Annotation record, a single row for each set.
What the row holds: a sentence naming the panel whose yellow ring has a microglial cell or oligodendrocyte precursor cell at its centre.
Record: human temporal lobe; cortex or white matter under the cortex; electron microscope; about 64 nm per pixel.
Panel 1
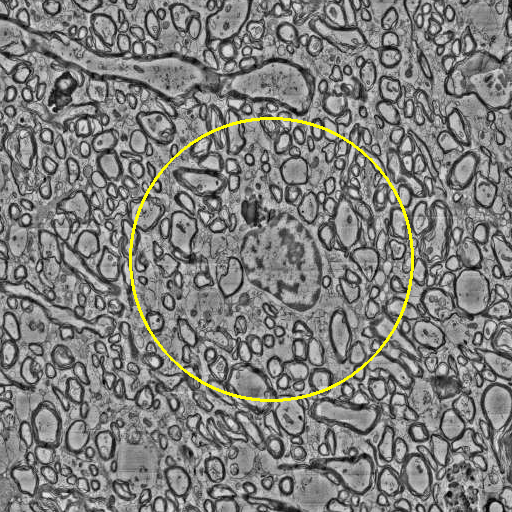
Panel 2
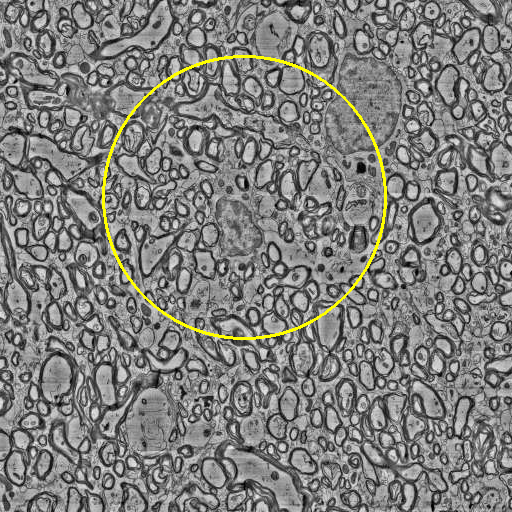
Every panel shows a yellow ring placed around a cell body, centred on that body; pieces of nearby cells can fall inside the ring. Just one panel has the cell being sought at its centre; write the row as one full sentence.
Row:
In panel 1, the cell at the middle of the yellow ring is the one sought.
